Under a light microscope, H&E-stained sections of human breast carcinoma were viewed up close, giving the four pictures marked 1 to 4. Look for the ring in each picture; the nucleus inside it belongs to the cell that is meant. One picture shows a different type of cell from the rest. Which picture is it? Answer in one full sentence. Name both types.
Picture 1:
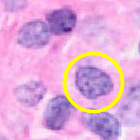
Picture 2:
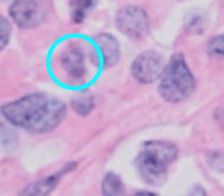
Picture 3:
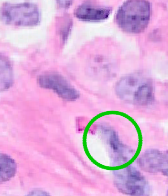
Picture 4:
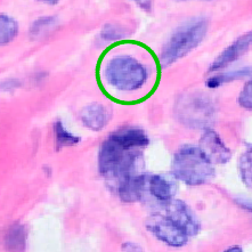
Picture 3 is the odd one out: it shows an endothelial cell, while the others show carcinoma cells.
